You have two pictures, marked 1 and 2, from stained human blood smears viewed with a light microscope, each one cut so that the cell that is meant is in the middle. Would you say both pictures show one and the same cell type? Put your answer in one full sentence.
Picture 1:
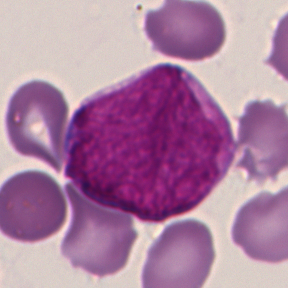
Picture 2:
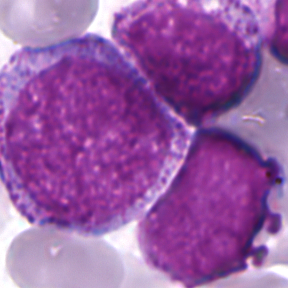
No, the types are not the same, since picture 1 shows a myeloblast and picture 2 a promyelocyte.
